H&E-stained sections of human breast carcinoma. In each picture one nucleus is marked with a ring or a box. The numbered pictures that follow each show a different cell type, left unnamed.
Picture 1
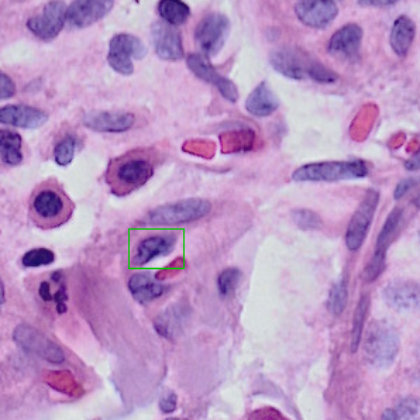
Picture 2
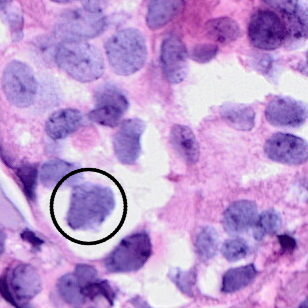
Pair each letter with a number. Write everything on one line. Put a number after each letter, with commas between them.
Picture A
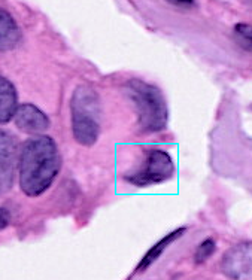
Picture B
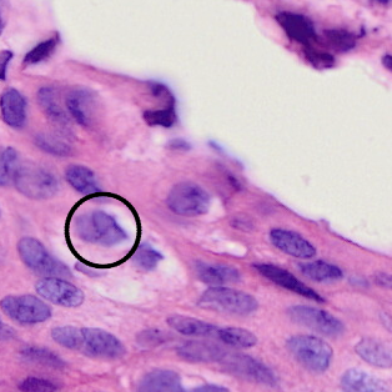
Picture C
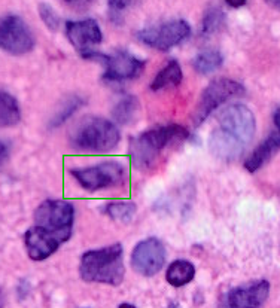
A 2, B 2, C 2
